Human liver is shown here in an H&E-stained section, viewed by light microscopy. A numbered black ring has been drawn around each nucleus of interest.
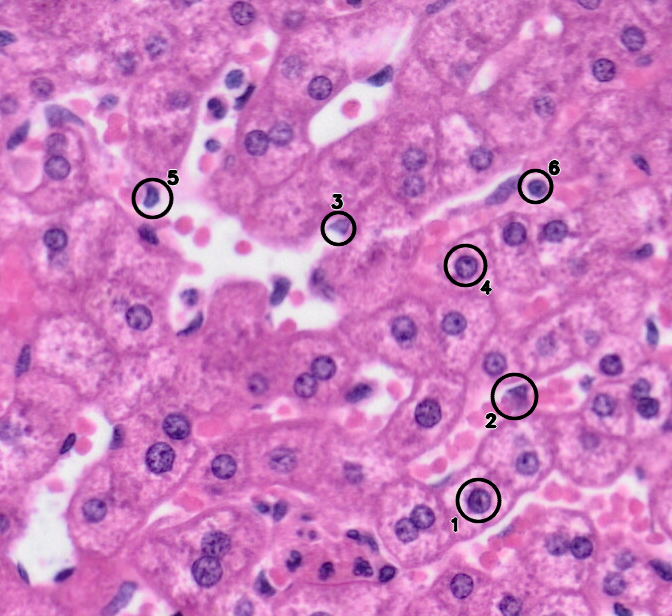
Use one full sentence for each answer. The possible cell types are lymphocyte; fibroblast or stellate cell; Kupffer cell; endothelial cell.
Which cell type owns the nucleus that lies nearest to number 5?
The nearest nucleus to number 5 belongs to a fibroblast or stellate cell.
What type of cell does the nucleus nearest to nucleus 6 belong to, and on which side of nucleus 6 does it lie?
It is a Kupffer cell, whose nucleus lies to the left of nucleus 6.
